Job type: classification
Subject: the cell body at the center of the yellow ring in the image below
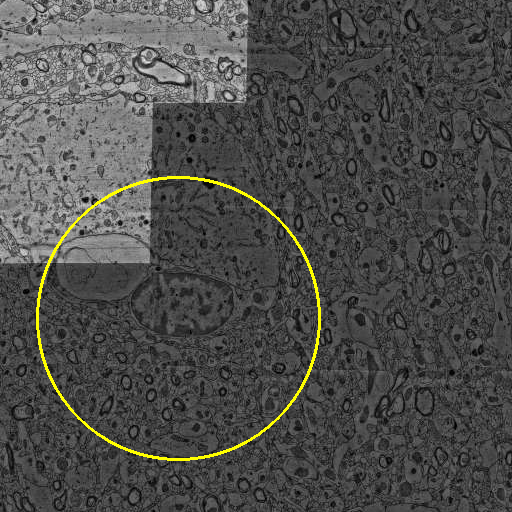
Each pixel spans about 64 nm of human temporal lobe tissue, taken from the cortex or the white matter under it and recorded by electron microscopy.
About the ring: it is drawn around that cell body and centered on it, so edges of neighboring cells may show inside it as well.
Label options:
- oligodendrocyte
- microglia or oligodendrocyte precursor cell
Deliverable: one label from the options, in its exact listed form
microglia or oligodendrocyte precursor cell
